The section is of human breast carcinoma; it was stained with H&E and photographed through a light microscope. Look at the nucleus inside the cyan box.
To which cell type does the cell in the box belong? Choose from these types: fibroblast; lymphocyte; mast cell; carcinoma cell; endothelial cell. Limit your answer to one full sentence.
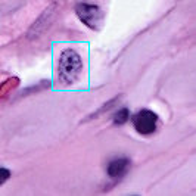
As for its identity, the cell in the box is a mast cell.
